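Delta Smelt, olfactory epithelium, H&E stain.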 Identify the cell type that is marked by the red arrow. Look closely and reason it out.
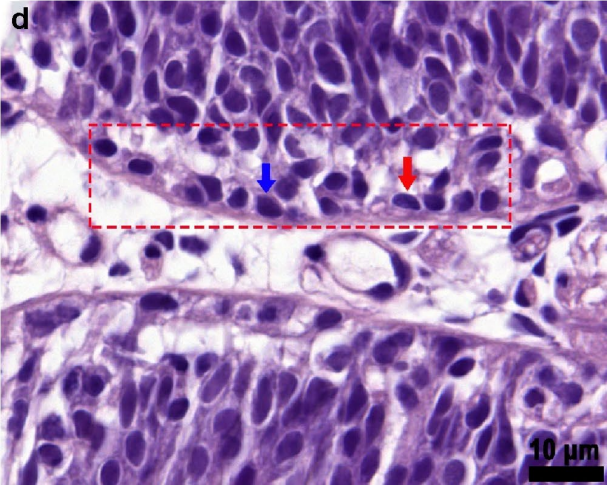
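Horizontal basal cells. The red arrow points at a flattened, elongated dark nucleus at the base of the epithelium. The nucleus lies parallel to the underlying basement membrane.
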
